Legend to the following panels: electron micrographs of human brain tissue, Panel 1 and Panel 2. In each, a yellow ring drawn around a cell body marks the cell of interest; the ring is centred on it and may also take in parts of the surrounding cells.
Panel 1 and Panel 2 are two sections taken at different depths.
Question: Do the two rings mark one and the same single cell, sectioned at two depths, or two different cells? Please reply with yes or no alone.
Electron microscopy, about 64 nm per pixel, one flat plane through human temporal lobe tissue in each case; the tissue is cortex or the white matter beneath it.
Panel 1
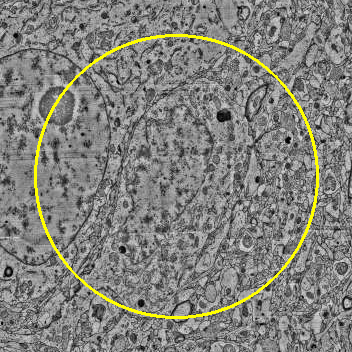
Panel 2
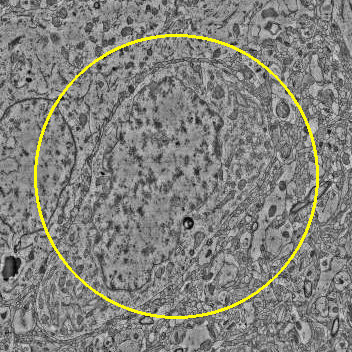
yes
